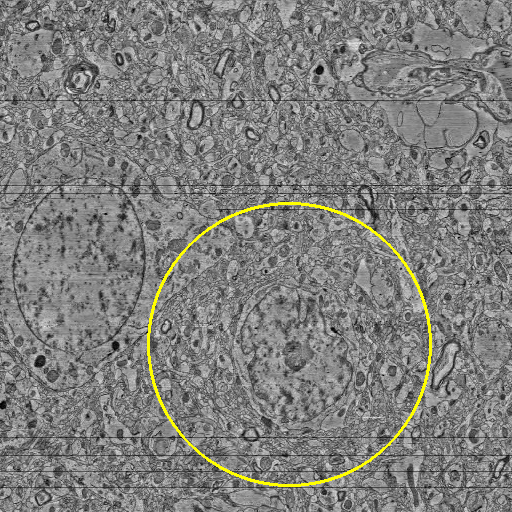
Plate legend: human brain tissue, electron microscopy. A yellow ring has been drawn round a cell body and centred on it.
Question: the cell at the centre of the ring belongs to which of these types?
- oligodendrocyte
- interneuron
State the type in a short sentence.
The cell in the middle of the ring is an interneuron.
